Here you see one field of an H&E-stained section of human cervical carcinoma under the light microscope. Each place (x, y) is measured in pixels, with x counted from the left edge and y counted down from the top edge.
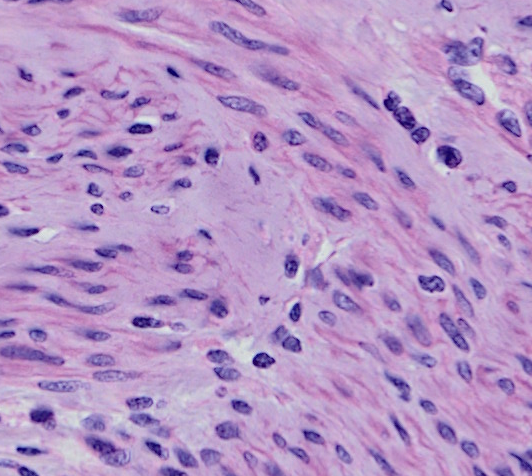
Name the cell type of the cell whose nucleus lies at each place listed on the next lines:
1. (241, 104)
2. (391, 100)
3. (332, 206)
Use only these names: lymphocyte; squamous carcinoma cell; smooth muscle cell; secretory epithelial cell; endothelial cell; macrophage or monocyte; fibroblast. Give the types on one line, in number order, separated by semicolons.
smooth muscle cell; lymphocyte; smooth muscle cell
